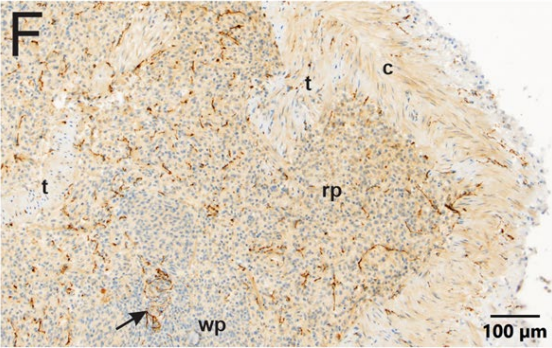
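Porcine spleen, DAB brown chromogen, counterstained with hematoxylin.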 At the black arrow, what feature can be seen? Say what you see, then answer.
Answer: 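The arrow points to a small round vessel profile within a densely packed blue-nucleated region. Brown threads encircle the vessel.
Central arteriole.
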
